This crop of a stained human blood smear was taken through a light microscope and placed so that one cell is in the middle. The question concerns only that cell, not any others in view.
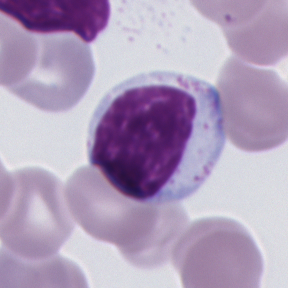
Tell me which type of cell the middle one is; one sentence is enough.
Here the cell in the middle is a large granular lymphocyte.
